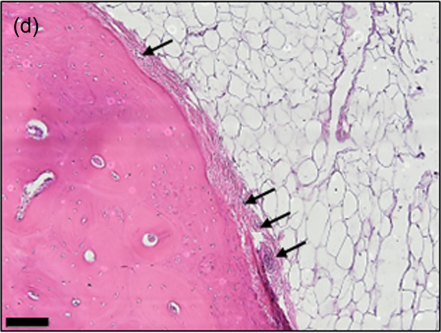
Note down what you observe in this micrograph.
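Along the bone surface runs a thin, more cellular fibrous layer with small dark nuclei. The arrows point to small vessels within this thin layer. To the right lies a meshwork of large, round, empty-looking adipocytes with thin purple-outlined walls. The vessel-bearing layer sits between the bone and the fat.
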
